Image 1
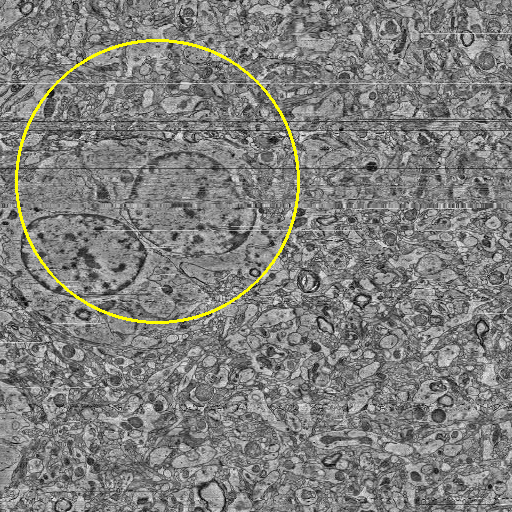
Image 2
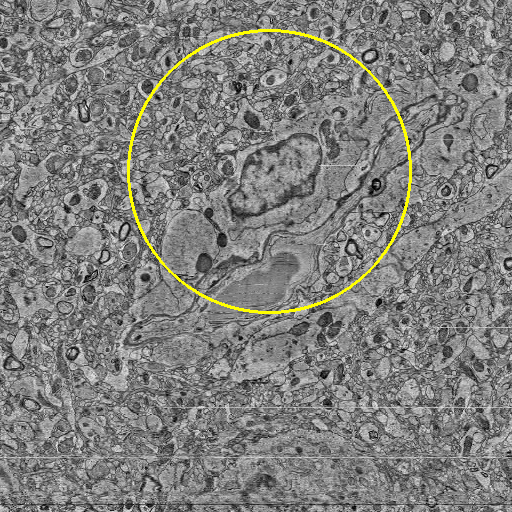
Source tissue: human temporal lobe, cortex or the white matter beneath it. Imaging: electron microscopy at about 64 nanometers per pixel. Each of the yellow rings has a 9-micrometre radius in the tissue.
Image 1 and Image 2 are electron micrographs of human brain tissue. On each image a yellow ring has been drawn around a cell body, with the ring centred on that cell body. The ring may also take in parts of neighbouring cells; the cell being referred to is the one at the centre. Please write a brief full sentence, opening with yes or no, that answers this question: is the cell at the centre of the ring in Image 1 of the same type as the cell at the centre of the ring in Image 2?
No, the two cells are of two types.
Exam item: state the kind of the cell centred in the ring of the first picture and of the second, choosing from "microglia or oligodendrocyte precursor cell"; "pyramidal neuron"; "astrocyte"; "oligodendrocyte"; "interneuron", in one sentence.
The first picture shows an astrocyte at the ring centre and the second shows a microglial cell or oligodendrocyte precursor cell.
